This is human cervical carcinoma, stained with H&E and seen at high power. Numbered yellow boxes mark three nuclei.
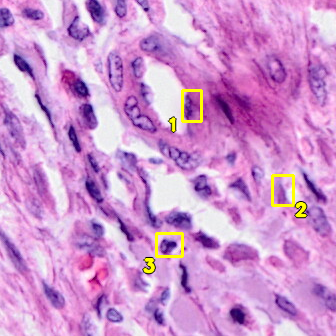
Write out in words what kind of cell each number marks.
Cell 1 is an endothelial cell. Cell 2 is a fibroblast. Cell 3 is a lymphocyte.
